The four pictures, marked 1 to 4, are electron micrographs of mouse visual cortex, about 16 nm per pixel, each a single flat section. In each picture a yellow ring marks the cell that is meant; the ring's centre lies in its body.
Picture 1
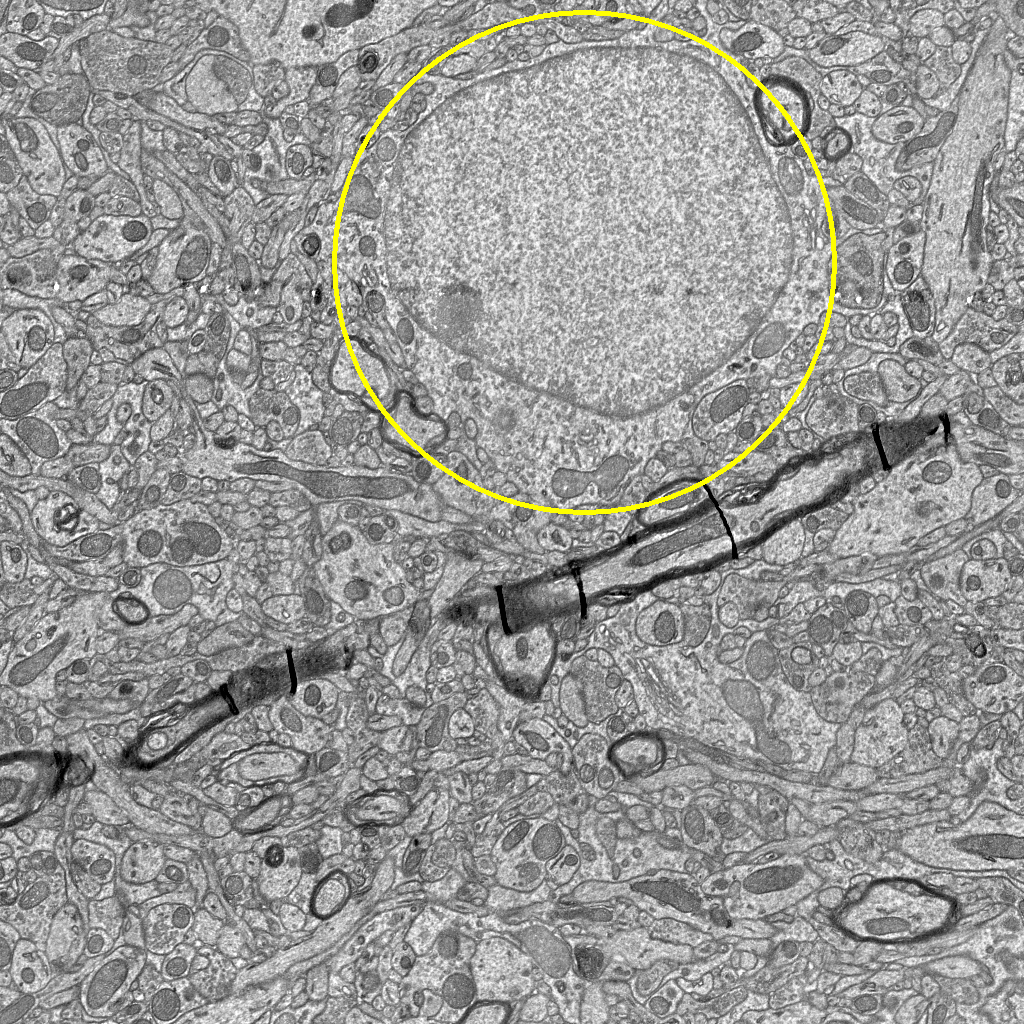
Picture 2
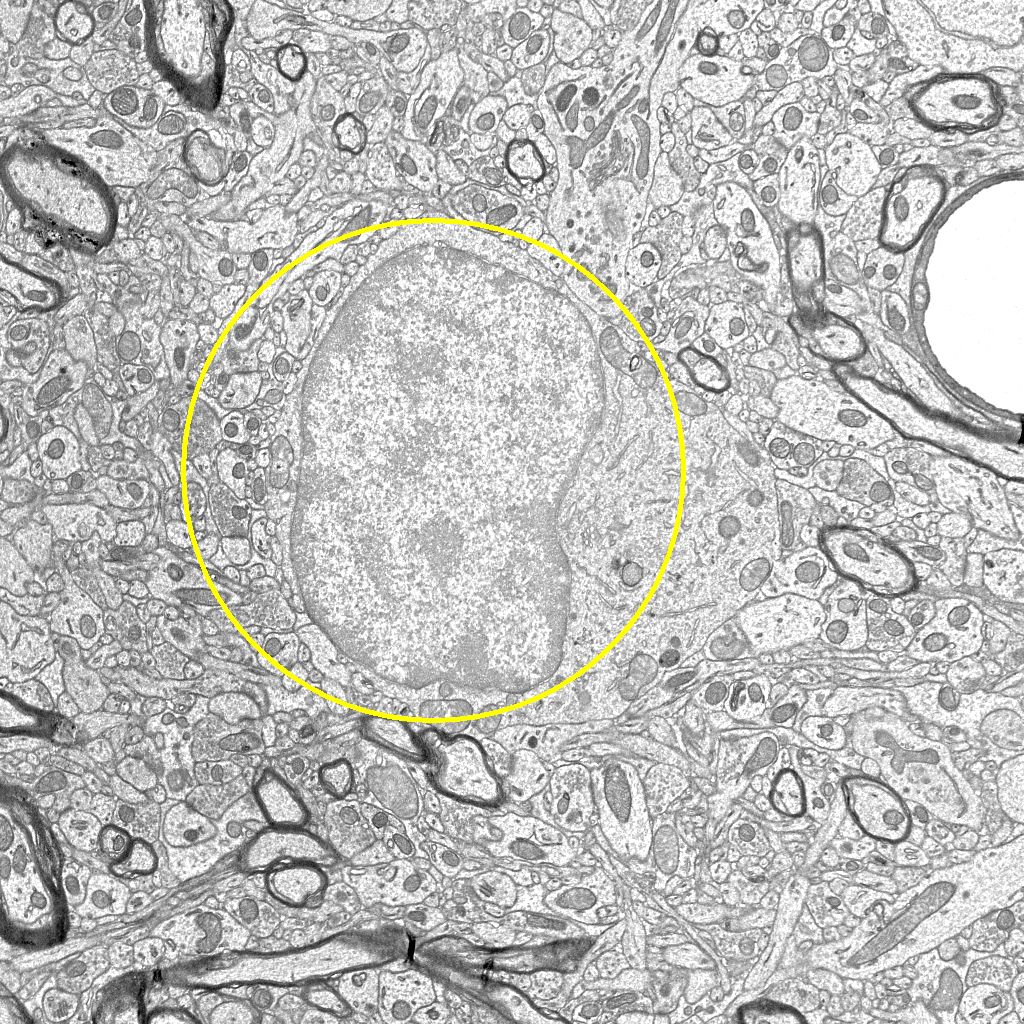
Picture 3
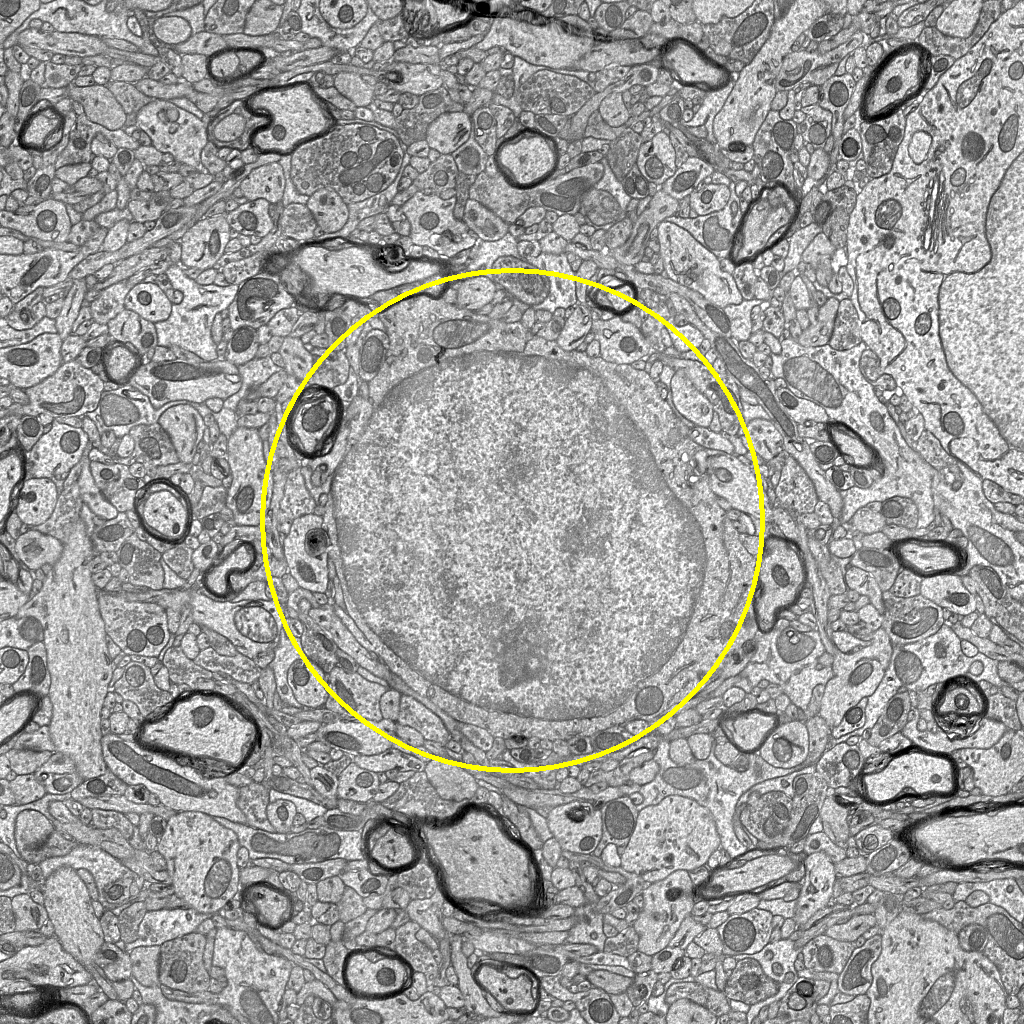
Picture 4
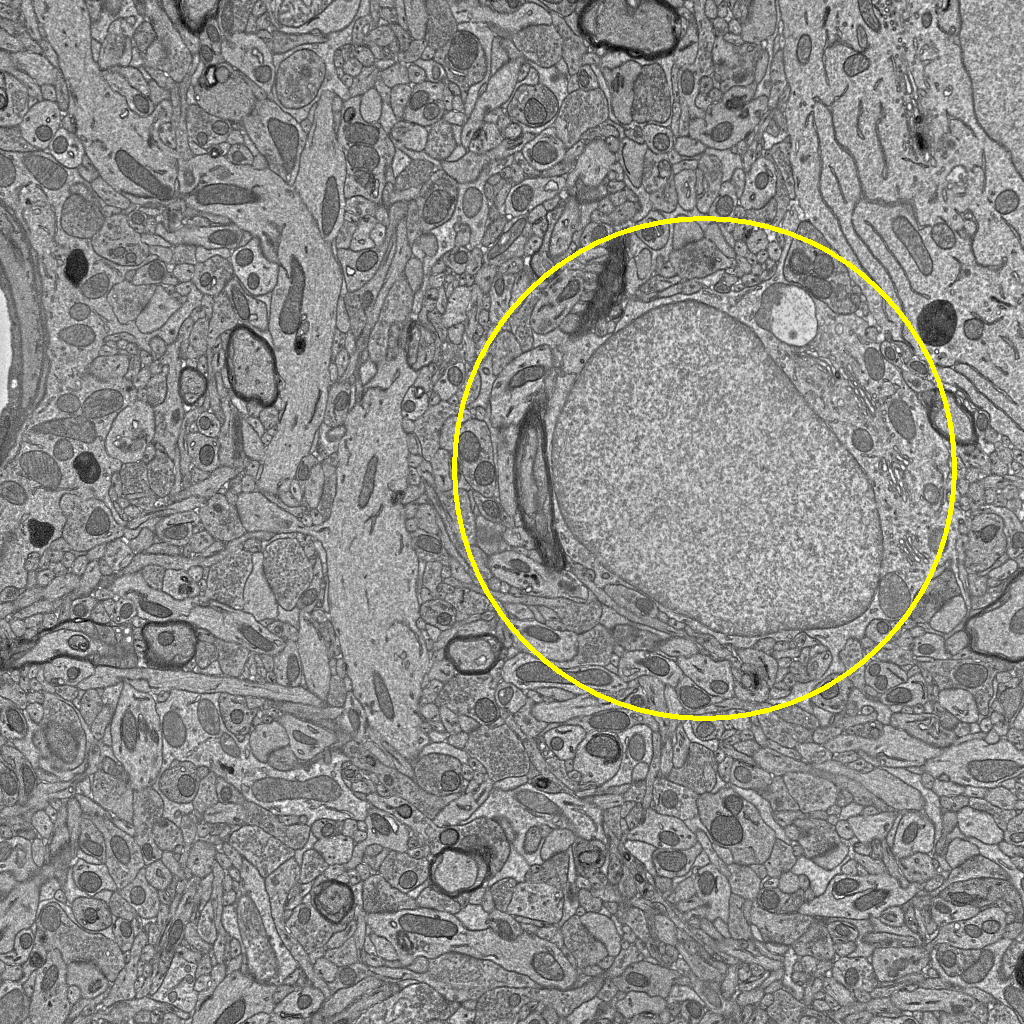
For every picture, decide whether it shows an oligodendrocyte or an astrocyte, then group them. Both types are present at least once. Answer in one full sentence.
Pictures 2 and 3 show oligodendrocytes, and pictures 1 and 4 show astrocytes.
